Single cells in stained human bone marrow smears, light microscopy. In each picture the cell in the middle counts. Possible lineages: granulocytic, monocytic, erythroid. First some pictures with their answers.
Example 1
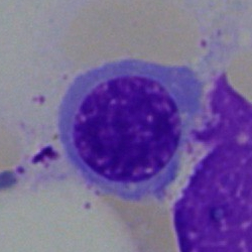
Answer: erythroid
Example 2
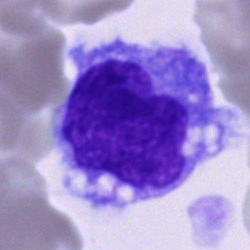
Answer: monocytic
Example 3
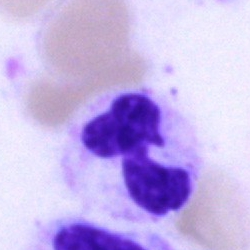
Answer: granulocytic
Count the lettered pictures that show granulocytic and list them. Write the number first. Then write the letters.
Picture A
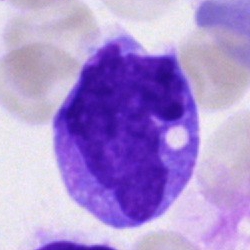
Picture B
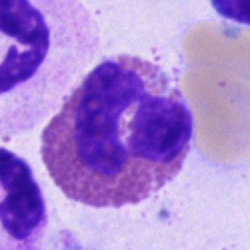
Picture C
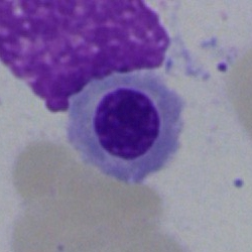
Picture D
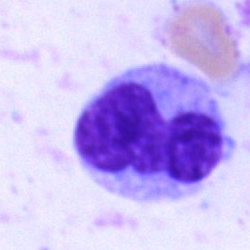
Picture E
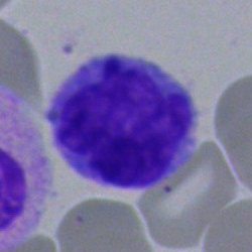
1: B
